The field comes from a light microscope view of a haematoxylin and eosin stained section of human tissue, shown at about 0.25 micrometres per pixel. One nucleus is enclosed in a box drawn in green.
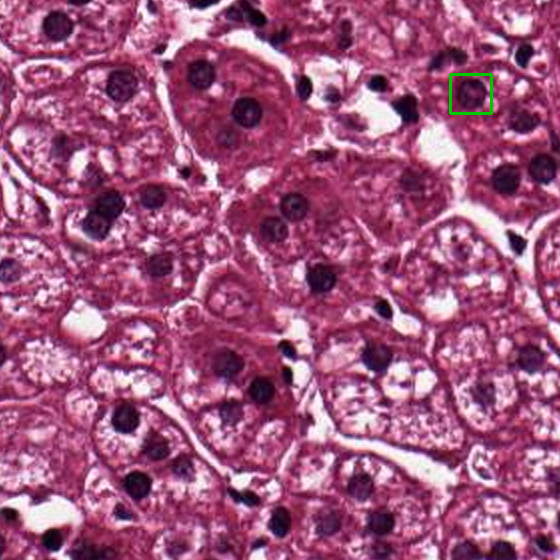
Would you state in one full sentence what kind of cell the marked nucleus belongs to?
Part of an adrenal cortical cell is the marked nucleus.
